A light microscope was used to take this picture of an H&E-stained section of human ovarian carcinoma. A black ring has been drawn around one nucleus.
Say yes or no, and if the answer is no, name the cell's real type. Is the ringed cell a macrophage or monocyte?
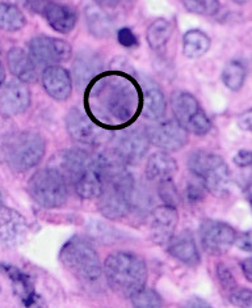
No, it is a carcinoma cell.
